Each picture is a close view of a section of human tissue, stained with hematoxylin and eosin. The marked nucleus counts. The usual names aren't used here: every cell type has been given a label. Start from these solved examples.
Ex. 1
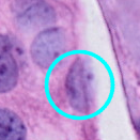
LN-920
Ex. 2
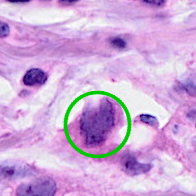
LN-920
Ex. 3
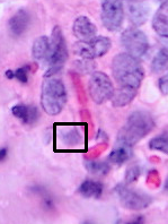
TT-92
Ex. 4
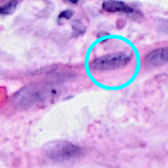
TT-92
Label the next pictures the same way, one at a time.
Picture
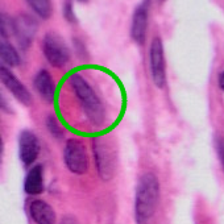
TT-92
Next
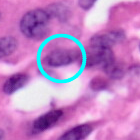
LN-920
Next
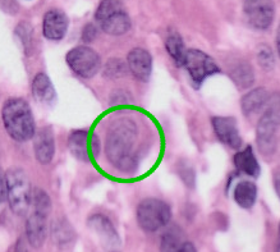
LN-920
